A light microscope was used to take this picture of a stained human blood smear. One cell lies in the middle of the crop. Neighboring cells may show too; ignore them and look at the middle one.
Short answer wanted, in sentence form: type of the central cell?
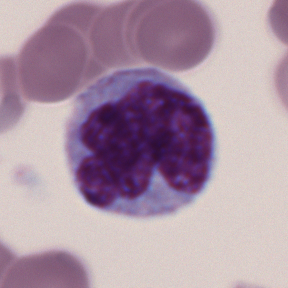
Where the crop is centred, there is a monocyte.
